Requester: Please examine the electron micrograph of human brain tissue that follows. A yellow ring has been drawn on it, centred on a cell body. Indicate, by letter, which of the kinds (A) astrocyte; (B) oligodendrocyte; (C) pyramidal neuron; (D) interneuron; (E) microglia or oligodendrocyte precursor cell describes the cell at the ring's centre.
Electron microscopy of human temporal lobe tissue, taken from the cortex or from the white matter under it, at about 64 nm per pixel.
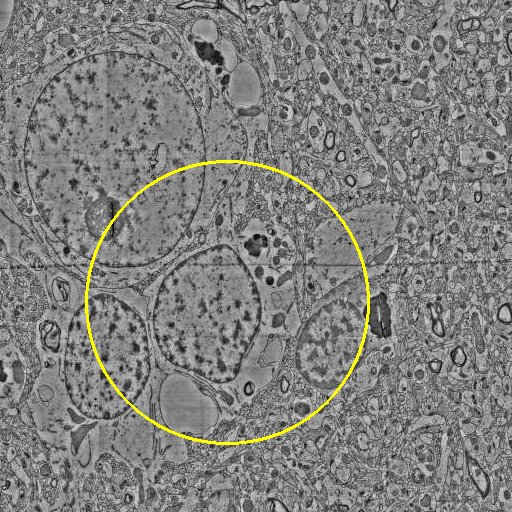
A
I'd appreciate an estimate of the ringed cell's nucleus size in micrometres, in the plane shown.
The nucleus appears roughly 9 by 7 micrometres in this plane.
